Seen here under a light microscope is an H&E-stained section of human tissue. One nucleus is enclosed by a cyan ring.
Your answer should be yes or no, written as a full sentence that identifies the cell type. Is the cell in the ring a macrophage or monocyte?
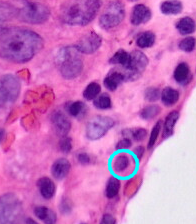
No, the cell in the ring is best named a lymphocyte, not a macrophage or monocyte.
